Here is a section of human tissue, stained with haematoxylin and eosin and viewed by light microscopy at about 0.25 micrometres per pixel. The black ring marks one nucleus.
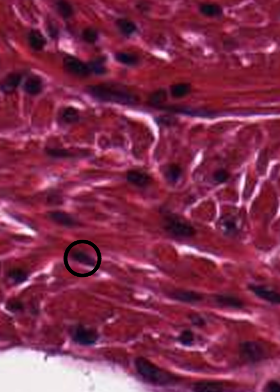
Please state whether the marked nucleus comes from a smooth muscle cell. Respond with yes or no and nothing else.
yes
